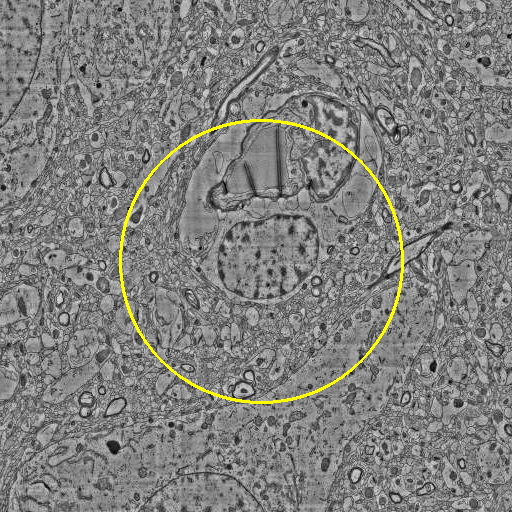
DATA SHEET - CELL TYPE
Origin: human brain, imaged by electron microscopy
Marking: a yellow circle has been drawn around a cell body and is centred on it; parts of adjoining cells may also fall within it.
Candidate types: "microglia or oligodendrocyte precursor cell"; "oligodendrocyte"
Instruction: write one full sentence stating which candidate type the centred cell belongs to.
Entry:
The cell body at the centre of the yellow ring in this micrograph belongs to a microglial cell or oligodendrocyte precursor cell.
